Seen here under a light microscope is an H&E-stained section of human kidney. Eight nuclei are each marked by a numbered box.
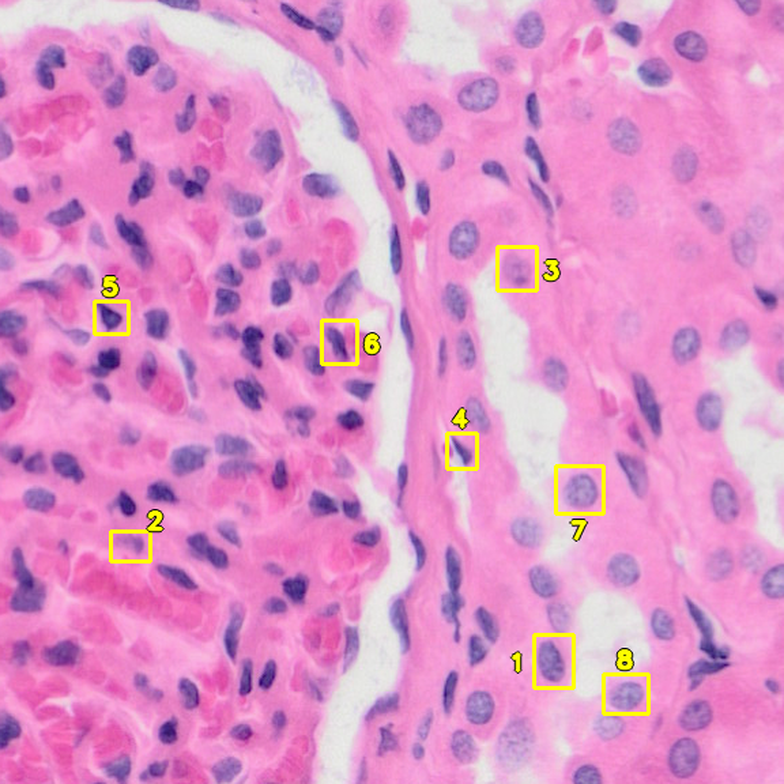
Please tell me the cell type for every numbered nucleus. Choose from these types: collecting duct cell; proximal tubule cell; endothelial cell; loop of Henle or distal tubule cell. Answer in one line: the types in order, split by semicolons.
loop of Henle or distal tubule cell; endothelial cell; loop of Henle or distal tubule cell; endothelial cell; endothelial cell; endothelial cell; loop of Henle or distal tubule cell; loop of Henle or distal tubule cell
